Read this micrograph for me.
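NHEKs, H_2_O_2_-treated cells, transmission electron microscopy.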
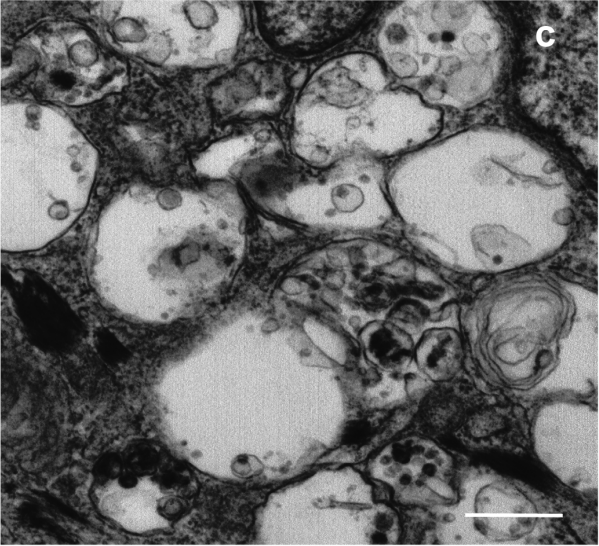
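High magnification of the cytoplasm showing many closely packed autophagic vacuoles bounded by membranes. The vacuoles vary in size and contain small vesicles, fragments of membrane, dense granular debris and, in places, concentric membrane whorls, while dark filamentous cytoplasm fills the spaces between them.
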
